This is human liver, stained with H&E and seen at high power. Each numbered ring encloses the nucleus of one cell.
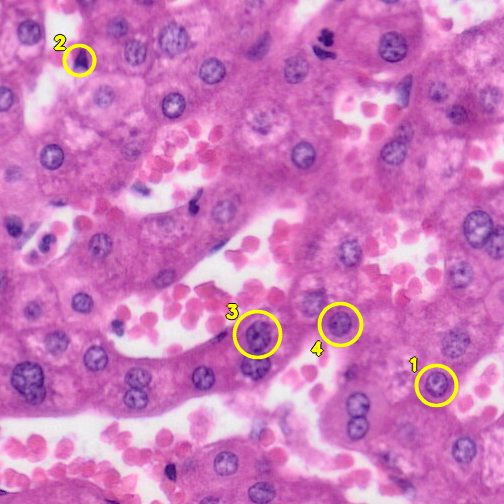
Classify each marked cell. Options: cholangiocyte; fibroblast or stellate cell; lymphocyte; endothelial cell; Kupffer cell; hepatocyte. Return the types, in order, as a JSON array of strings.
["hepatocyte", "fibroblast or stellate cell", "hepatocyte", "hepatocyte"]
